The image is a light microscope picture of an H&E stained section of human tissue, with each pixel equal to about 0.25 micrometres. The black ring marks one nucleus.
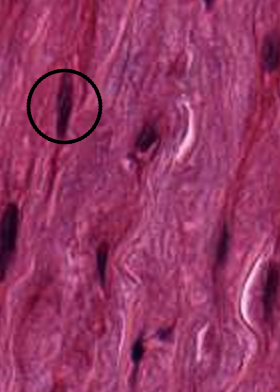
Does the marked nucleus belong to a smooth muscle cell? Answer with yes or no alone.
yes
